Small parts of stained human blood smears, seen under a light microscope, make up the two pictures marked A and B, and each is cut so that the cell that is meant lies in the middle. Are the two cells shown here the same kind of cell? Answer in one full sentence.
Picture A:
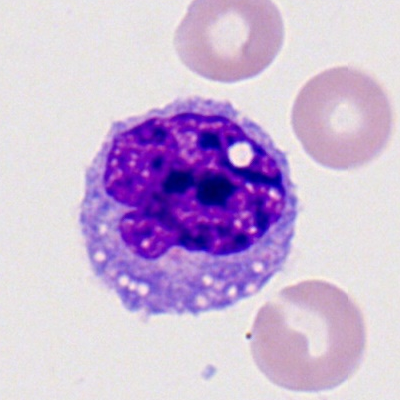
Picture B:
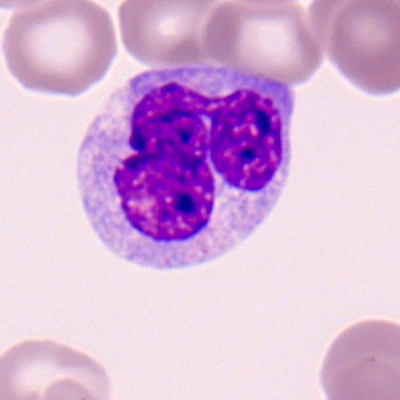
Yes; the cells in both pictures are monocytes.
